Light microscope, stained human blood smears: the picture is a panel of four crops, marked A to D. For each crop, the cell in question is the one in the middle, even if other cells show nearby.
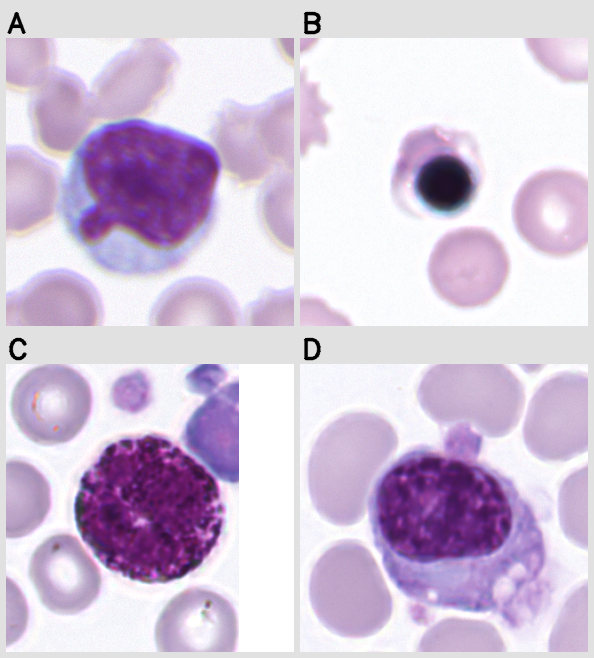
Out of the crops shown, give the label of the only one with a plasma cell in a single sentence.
Of the labelled crops, the one that shows a plasma cell is crop D.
